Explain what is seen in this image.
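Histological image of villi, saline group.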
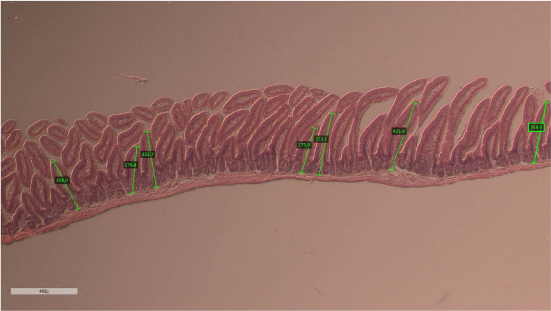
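A strip of intestinal wall is seen in pink and purple stain, with tall, slender finger-like projections rising from a thin band of wall. At the base of the projections lies a darker purple zone of densely packed glands, and beneath it a thin pink band of smooth muscle.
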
